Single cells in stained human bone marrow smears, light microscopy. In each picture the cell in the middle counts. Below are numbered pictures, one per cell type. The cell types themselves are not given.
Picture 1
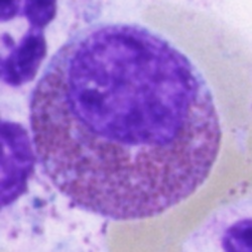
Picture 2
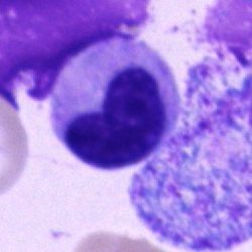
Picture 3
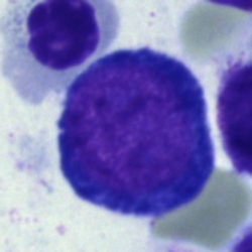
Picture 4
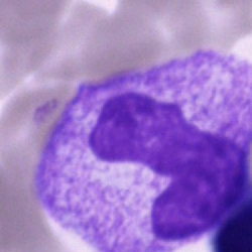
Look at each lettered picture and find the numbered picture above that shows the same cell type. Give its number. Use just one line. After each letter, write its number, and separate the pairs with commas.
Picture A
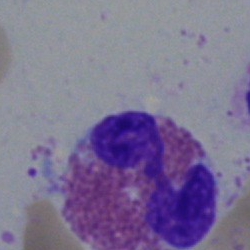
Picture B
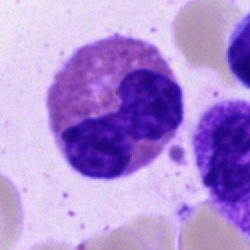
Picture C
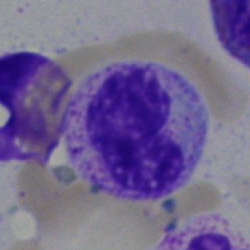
A 1, B 1, C 2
